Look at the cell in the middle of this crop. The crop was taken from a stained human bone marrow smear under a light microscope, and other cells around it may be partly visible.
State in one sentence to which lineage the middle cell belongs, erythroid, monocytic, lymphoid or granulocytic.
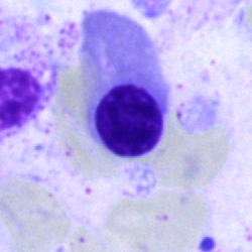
Placed within the erythroid lineage is the cell in the middle.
